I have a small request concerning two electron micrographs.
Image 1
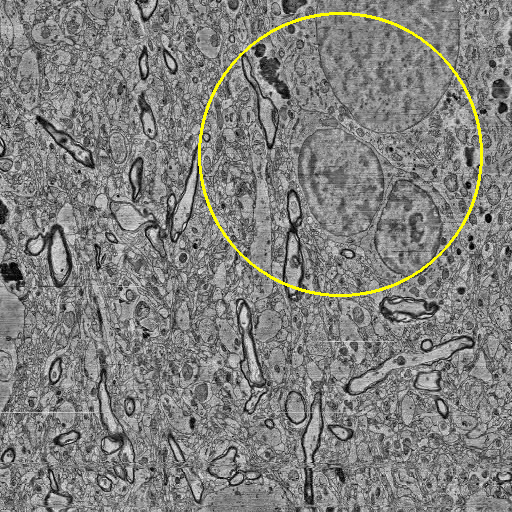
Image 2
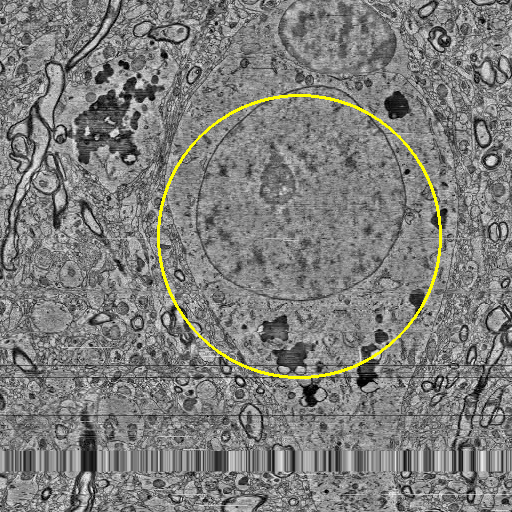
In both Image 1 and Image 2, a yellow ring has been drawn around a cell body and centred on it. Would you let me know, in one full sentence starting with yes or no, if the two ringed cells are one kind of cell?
No, the cells ringed in Image 1 and Image 2 are two kinds of cell.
